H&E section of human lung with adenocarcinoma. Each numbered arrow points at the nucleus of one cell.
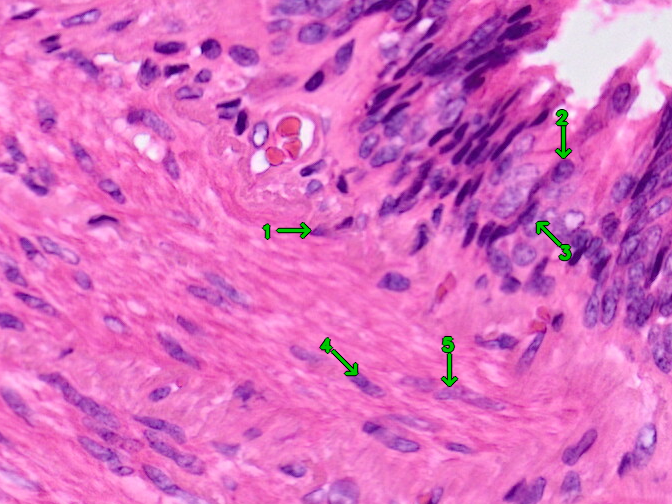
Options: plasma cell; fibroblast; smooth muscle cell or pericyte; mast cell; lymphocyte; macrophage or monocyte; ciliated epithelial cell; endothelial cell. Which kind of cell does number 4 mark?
smooth muscle cell or pericyte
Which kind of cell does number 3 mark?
ciliated epithelial cell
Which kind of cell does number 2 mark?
ciliated epithelial cell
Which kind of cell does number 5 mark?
smooth muscle cell or pericyte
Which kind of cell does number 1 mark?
smooth muscle cell or pericyte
